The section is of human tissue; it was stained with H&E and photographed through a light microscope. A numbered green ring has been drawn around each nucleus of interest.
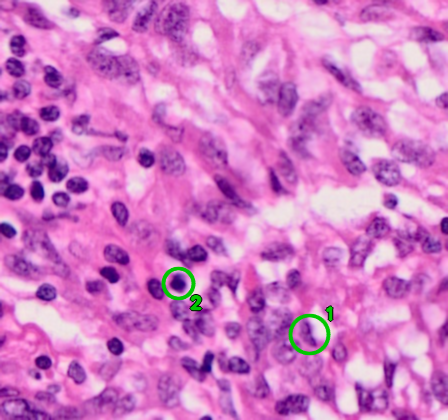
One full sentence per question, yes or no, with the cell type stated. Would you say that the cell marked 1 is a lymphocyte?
No, cell 1 should be read as a melanoma cell instead of a lymphocyte.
